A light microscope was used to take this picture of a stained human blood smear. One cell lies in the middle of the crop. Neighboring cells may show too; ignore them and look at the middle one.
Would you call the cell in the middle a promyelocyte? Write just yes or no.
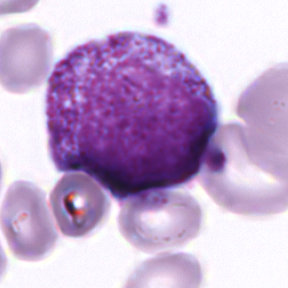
no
